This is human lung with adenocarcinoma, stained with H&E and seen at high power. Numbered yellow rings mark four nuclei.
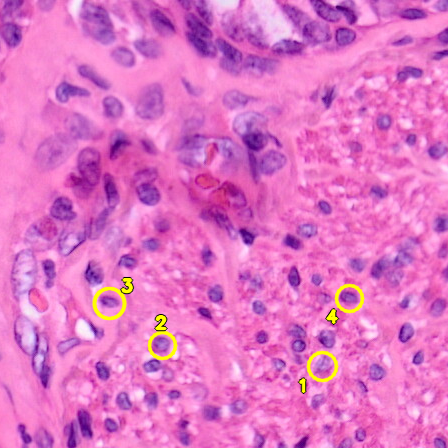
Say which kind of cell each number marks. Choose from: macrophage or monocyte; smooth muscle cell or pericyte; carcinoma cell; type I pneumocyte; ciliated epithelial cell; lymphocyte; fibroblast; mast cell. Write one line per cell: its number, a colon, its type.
1: smooth muscle cell or pericyte
2: smooth muscle cell or pericyte
3: mast cell
4: smooth muscle cell or pericyte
